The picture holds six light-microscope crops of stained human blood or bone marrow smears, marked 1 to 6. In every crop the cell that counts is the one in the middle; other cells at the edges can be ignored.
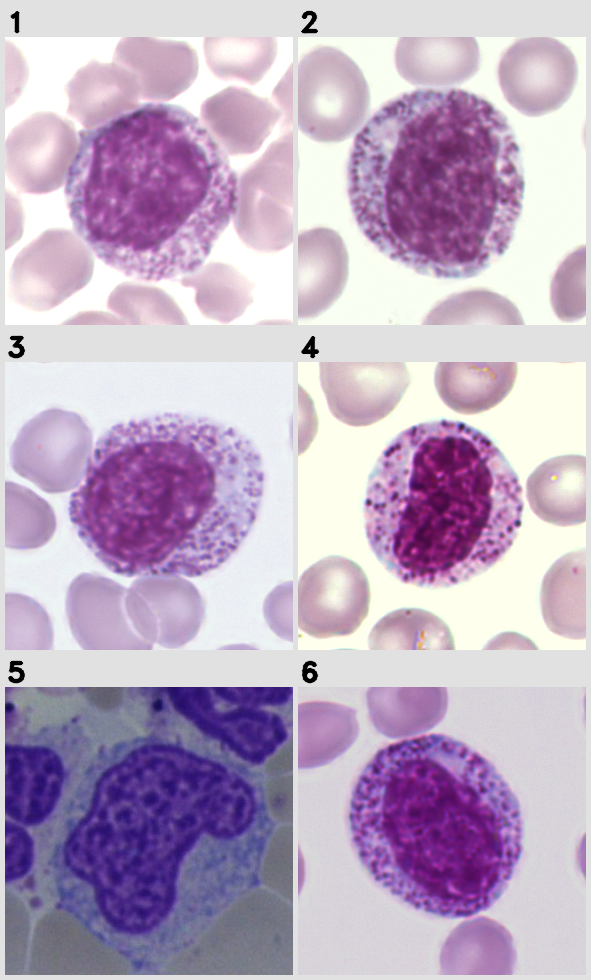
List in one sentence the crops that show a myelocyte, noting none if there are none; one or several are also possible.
As for crops 1, 2, 3 and 6, they show myelocytes.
